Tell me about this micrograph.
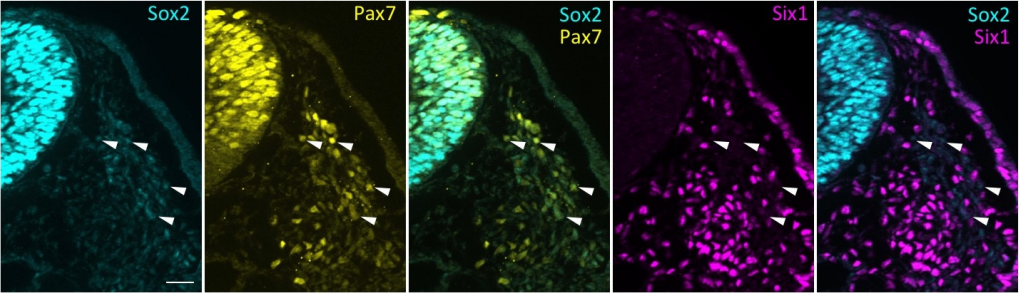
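A transverse section shows the dorsal neural tube at upper left as a dense, rounded mass of tightly packed nuclei, with a thin surface epithelium curving over it to the right. Between the tube and the surface layer lie loosely scattered cells of the migrating neural crest, with small, irregular nuclei spread out in mesenchyme. The tube nuclei are strongly cyan and partly yellow, while the scattered migrating cells show faint cyan and bright yellow, and many more cells lower and lateral are magenta. The surface epithelium forms a single thin row of nuclei that are magenta.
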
